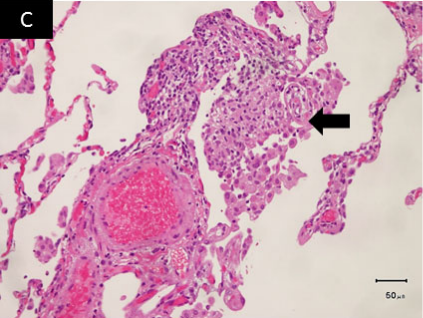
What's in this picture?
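Lung tissue shows a poorly defined granuloma of epithelioid cells lying within alveolar spaces. The cells have abundant pale pink cytoplasm and oval nuclei and are loosely clustered, without a necrotic centre. Nearby is a blood vessel filled with red cells, and the surrounding alveolar walls are thin and lined by small cells.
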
